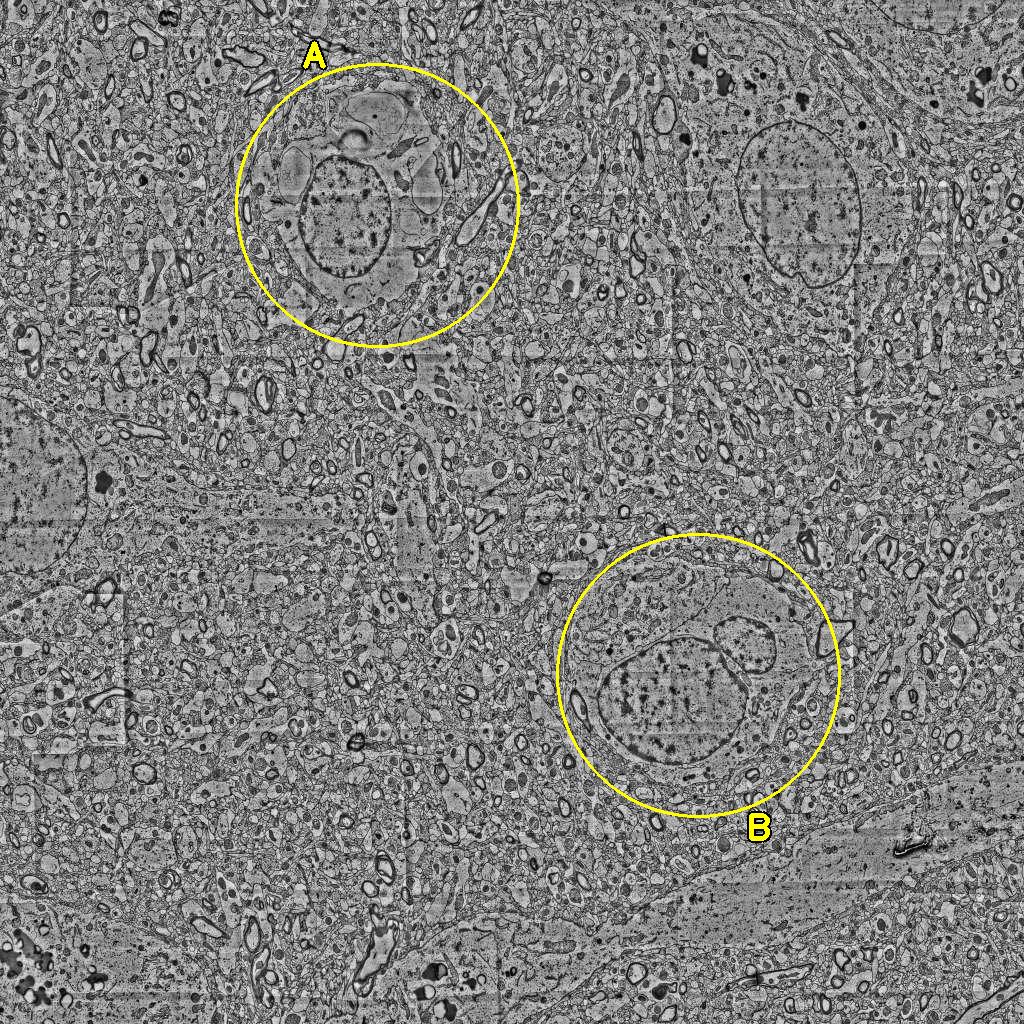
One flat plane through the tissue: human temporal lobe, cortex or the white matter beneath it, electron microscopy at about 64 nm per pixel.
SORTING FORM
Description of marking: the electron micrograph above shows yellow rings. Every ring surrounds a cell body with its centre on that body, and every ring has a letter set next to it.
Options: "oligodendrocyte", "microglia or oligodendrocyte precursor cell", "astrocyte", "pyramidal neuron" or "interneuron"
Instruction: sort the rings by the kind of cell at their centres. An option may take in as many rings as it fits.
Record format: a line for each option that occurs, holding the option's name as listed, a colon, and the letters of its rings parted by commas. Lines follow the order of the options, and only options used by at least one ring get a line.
microglia or oligodendrocyte precursor cell: B
astrocyte: A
